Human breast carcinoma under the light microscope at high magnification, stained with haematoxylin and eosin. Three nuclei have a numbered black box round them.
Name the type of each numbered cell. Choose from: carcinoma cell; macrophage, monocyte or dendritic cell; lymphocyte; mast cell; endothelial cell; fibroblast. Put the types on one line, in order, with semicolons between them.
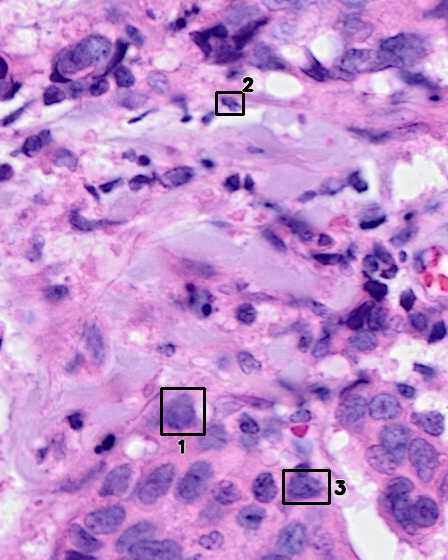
carcinoma cell; lymphocyte; carcinoma cell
